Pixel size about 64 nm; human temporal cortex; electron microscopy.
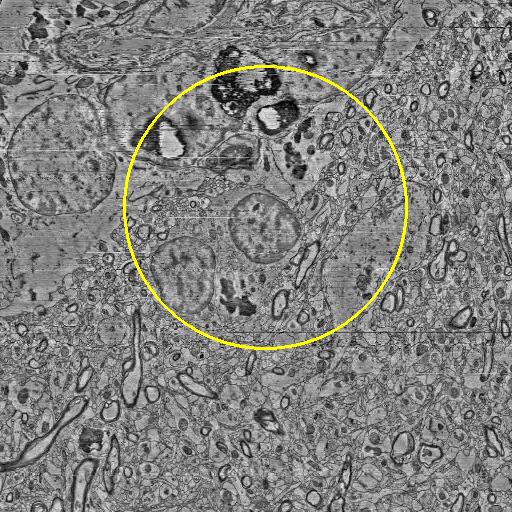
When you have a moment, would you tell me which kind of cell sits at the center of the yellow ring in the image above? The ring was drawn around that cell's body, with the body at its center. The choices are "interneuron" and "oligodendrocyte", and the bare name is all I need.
oligodendrocyte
